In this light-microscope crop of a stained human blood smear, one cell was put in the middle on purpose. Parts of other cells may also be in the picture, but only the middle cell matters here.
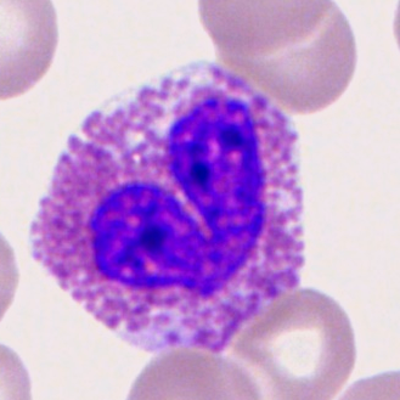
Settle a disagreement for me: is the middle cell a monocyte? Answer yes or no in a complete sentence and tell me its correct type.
No, at the middle of the crop is an eosinophil, not a monocyte.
